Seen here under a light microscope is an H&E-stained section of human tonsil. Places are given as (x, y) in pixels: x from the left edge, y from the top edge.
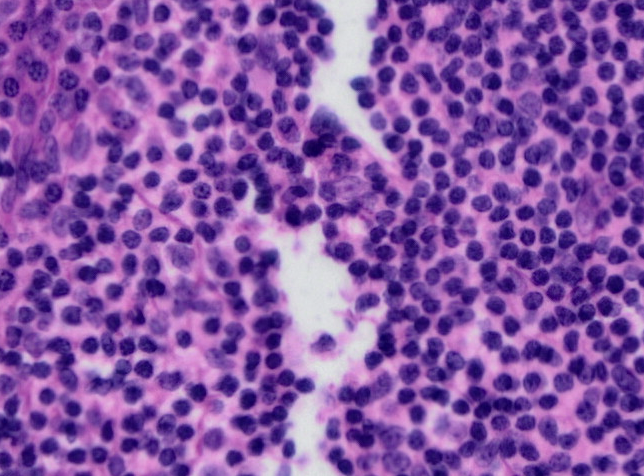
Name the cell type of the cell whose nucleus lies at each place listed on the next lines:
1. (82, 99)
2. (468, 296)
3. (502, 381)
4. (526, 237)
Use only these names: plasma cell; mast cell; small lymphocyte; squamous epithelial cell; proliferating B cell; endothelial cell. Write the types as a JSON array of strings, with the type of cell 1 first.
["plasma cell", "small lymphocyte", "small lymphocyte", "small lymphocyte"]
